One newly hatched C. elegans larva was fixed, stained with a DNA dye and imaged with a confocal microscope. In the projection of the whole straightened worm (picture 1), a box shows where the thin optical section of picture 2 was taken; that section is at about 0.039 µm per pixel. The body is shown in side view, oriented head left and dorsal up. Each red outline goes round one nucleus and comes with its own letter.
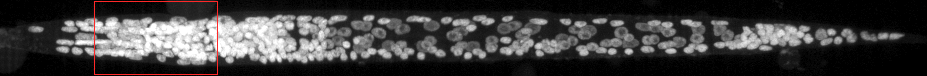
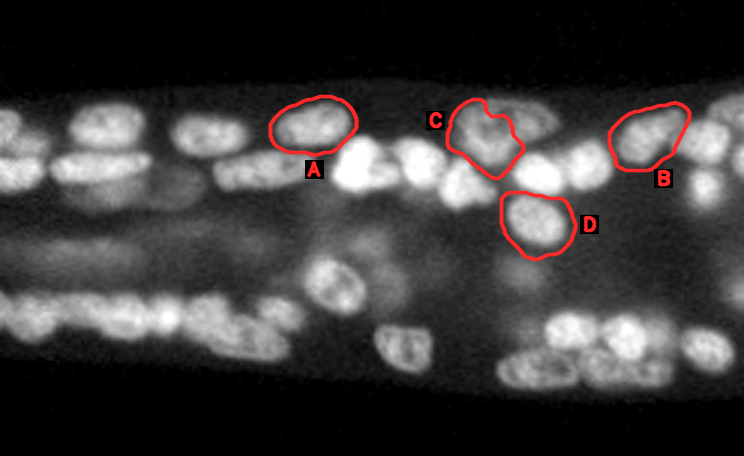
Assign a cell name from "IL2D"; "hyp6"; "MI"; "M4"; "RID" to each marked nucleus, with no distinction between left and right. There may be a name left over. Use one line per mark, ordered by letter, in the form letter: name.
A: hyp6
B: RID
C: IL2D
D: M4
